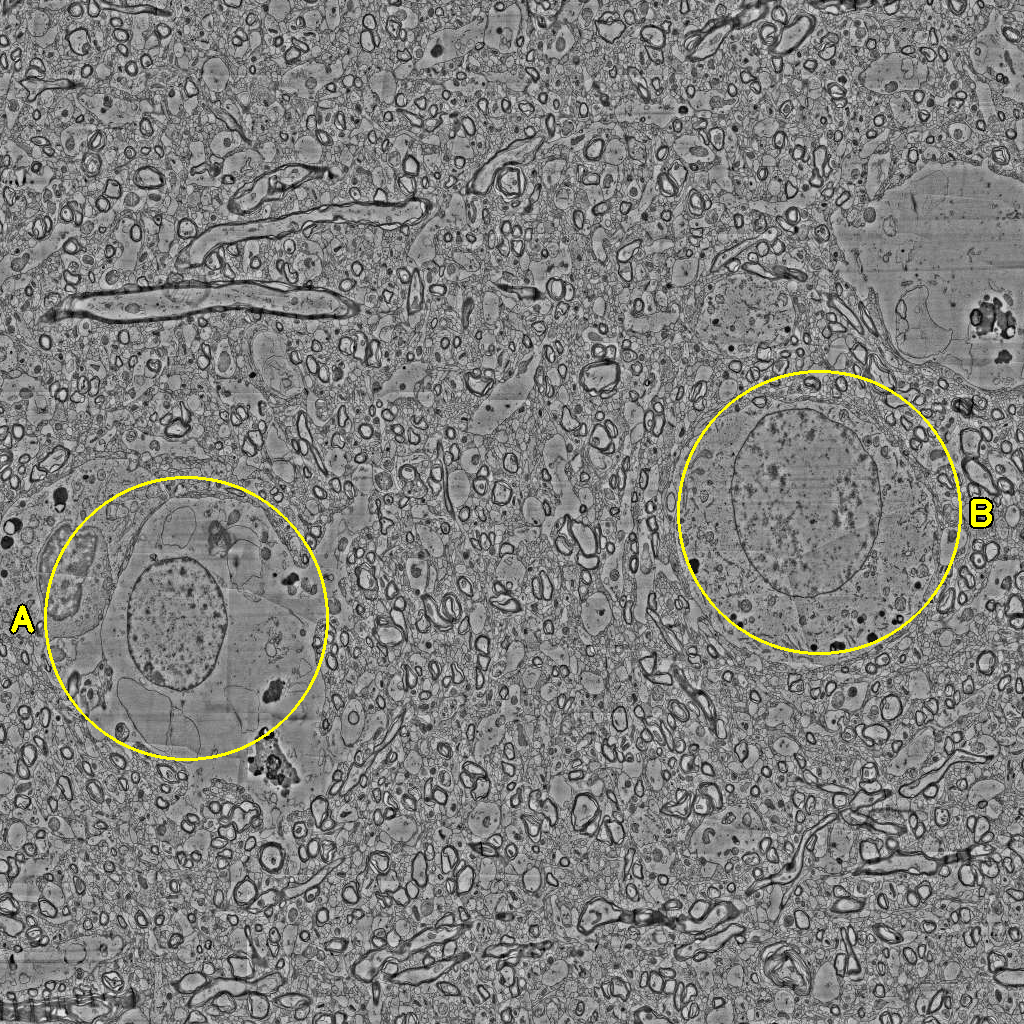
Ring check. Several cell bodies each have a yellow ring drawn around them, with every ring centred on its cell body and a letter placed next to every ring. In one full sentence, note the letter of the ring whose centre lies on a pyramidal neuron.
At the centre of ring B lies the cell asked for in this check.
